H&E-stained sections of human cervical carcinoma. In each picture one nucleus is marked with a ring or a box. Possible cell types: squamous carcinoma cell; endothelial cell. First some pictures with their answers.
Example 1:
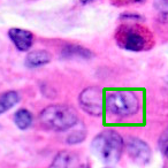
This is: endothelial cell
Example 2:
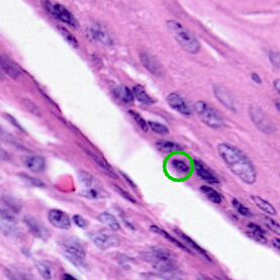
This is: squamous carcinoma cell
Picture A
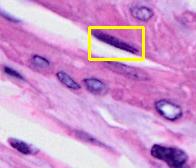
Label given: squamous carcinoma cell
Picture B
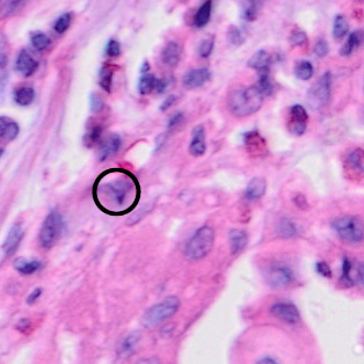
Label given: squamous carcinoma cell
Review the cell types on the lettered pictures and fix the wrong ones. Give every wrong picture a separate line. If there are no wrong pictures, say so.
A should be endothelial cell, not squamous carcinoma cell
B should be endothelial cell, not squamous carcinoma cell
